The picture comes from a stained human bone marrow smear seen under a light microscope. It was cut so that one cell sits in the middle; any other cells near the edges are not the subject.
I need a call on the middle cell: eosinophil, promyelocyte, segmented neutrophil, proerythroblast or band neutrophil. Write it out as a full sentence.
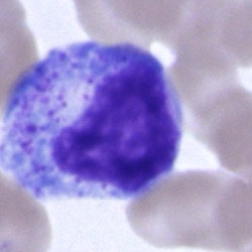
This crop has a promyelocyte at its centre.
